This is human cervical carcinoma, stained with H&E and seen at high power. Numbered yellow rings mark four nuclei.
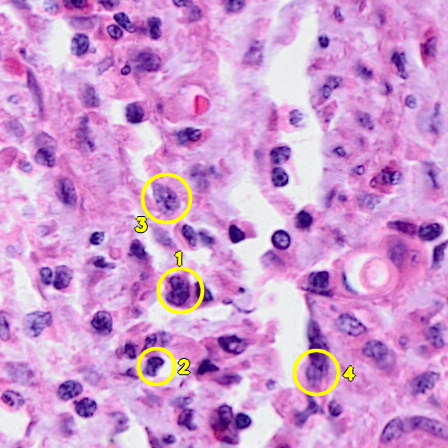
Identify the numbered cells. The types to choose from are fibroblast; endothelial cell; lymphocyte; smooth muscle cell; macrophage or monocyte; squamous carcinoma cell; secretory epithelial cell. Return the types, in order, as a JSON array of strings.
["macrophage or monocyte", "lymphocyte", "macrophage or monocyte", "macrophage or monocyte"]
